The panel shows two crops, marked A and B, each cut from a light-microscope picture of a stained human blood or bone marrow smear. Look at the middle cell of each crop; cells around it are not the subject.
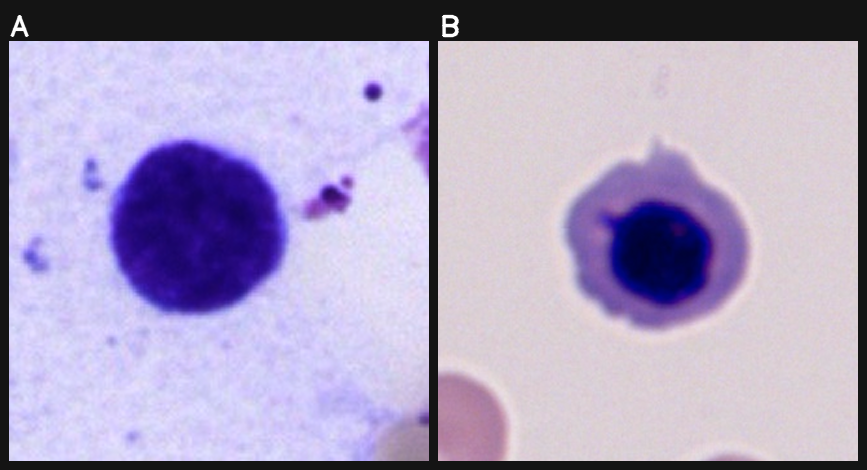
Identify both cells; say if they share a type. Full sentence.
No, the cell in crop A is a lymphocyte, and the cell in crop B is an erythroblast.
